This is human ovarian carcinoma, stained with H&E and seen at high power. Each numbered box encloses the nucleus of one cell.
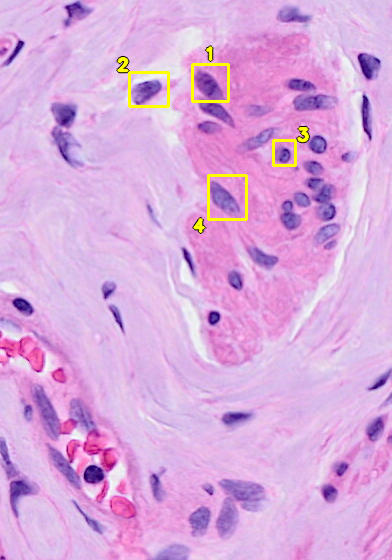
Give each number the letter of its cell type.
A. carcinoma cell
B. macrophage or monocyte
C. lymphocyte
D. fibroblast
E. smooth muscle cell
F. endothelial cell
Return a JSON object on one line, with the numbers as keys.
{"1": "E", "2": "D", "3": "E", "4": "E"}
